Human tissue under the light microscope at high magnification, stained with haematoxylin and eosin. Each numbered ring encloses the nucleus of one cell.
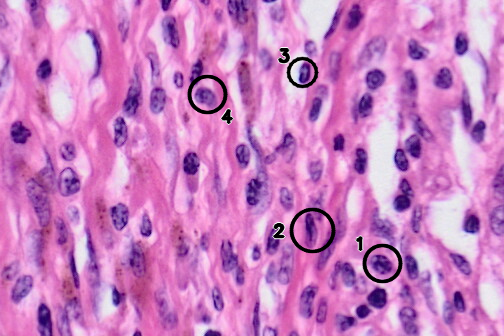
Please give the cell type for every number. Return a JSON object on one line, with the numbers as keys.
{"1": "plasma cell", "2": "lymphocyte", "3": "lymphocyte", "4": "lymphocyte"}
